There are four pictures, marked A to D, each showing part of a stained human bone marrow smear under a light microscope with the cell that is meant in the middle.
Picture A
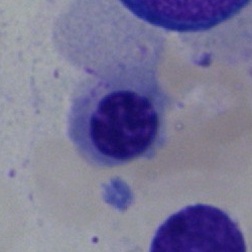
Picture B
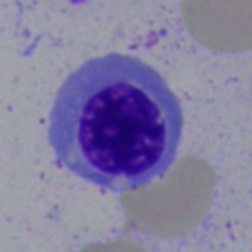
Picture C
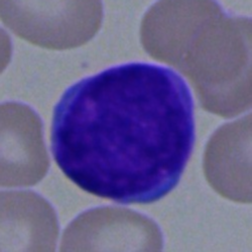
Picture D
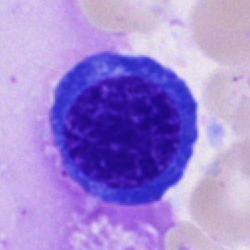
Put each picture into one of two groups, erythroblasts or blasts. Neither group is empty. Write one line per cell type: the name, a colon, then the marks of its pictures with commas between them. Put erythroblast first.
erythroblast: A, B, D
blast: C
